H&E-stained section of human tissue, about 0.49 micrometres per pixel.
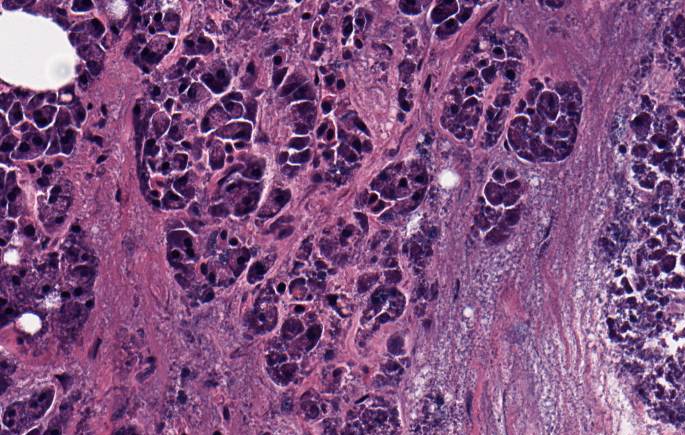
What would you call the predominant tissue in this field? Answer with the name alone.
exocrine pancreas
